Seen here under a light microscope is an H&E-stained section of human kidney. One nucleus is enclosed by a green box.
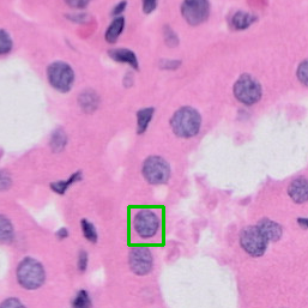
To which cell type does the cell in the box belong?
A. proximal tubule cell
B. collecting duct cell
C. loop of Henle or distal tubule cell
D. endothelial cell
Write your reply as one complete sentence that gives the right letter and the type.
According to option C, the cell in the box is a loop of Henle or distal tubule cell, and this is correct.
